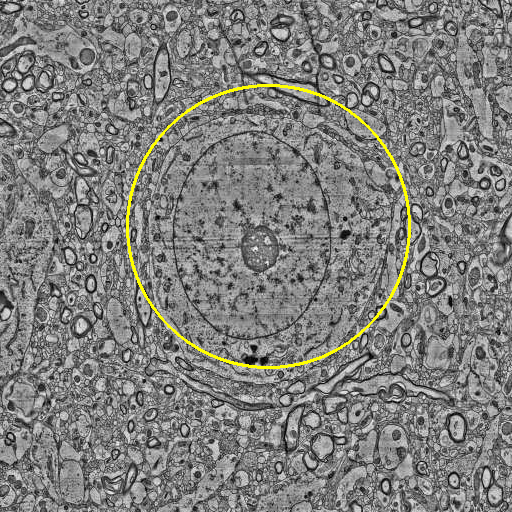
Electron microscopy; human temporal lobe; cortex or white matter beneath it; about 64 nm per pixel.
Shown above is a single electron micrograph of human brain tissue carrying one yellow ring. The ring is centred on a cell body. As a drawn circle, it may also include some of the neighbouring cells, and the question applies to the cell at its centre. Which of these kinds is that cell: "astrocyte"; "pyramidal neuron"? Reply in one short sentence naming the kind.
The cell marked by the ring is a pyramidal neuron.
